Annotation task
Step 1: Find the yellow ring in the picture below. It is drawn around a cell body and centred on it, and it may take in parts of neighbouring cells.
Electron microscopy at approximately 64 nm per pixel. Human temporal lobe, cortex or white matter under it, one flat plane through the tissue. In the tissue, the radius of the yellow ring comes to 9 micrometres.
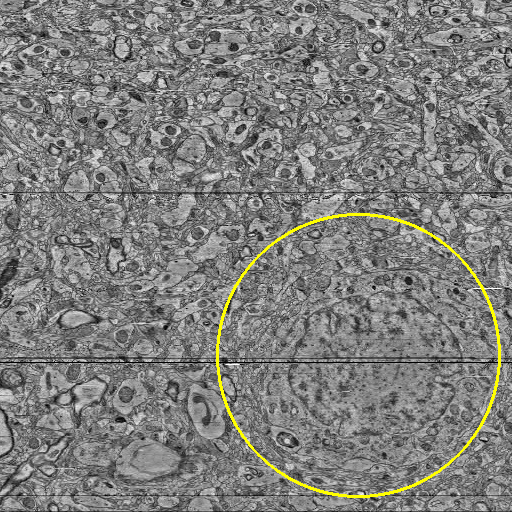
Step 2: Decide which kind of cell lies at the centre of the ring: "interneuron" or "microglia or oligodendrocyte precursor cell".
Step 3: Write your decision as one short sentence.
The kind of cell at the ring's centre is an interneuron.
